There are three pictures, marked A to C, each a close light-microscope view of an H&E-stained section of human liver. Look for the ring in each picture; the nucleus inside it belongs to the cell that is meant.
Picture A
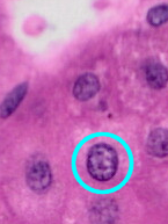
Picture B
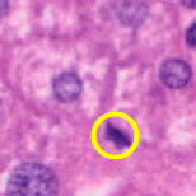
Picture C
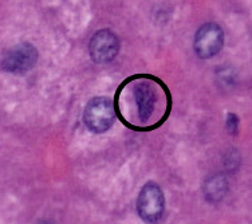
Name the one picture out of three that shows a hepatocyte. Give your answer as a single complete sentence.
The picture with the hepatocyte is A.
